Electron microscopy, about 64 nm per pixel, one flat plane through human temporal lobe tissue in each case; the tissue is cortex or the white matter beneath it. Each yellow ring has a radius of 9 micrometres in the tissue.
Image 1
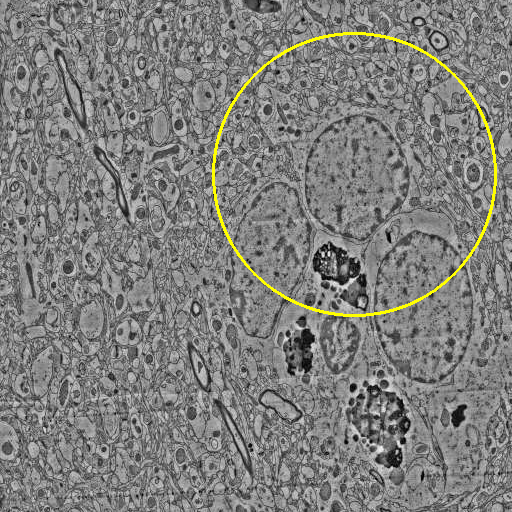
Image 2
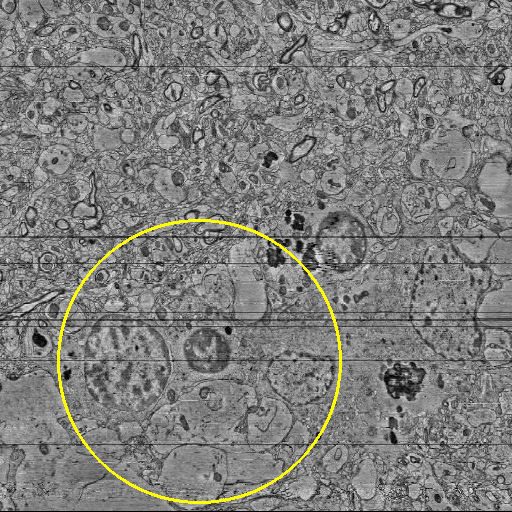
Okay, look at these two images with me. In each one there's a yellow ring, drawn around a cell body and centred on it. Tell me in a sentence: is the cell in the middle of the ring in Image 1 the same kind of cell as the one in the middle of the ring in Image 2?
No, they're two kinds of cell.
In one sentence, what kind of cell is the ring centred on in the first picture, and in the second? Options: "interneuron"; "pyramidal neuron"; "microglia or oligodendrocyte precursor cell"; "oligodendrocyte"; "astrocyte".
The cell at the centre of the second ring is an oligodendrocyte; the first ring's cell is an astrocyte.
